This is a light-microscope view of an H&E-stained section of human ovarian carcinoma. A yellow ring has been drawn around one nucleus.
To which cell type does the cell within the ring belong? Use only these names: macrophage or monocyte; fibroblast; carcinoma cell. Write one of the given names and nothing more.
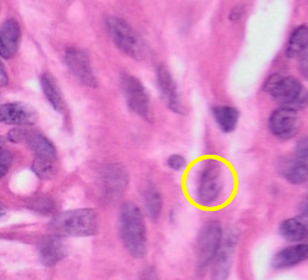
fibroblast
